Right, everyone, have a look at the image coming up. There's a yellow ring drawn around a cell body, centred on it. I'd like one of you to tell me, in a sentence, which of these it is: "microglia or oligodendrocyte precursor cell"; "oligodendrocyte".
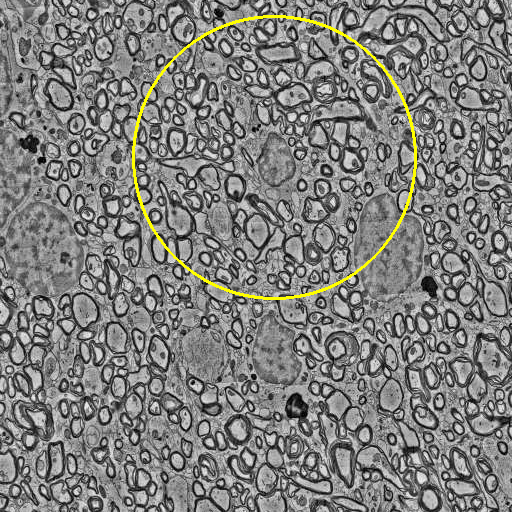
The yellow ring sits on an oligodendrocyte.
